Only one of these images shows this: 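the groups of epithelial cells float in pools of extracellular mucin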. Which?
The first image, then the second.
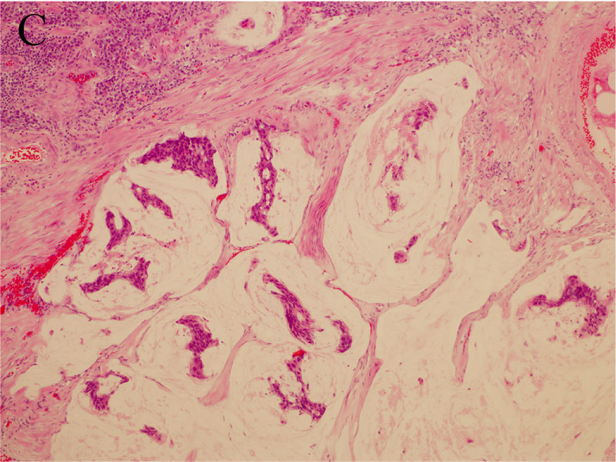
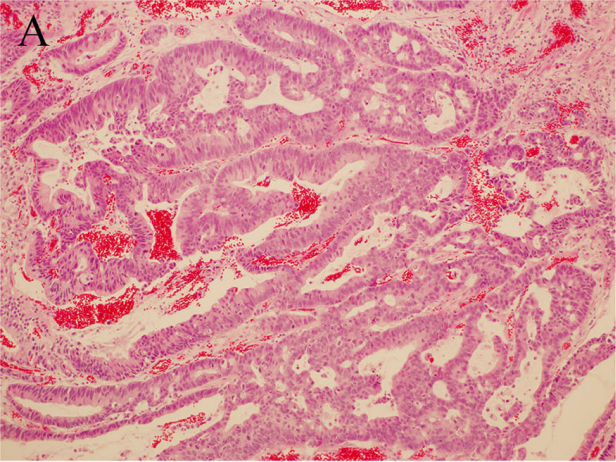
the first image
